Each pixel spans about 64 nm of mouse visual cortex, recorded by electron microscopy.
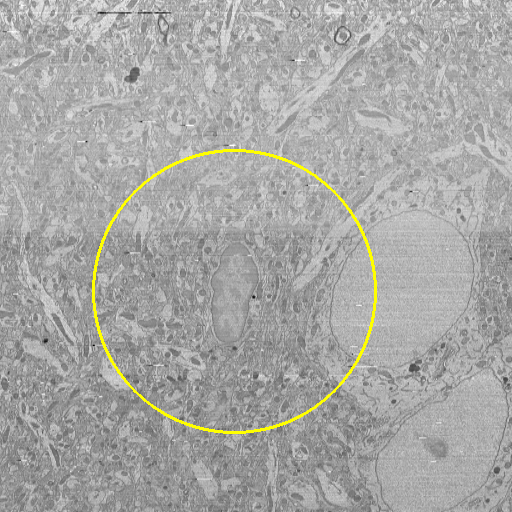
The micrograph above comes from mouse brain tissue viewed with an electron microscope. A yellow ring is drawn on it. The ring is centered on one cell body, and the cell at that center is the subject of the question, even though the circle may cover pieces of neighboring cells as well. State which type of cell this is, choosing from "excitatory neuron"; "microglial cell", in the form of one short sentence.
The cell the ring is centered on is a microglial cell.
